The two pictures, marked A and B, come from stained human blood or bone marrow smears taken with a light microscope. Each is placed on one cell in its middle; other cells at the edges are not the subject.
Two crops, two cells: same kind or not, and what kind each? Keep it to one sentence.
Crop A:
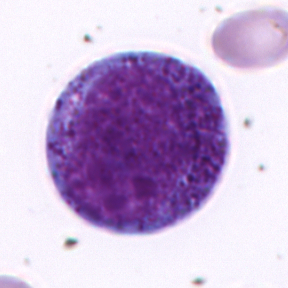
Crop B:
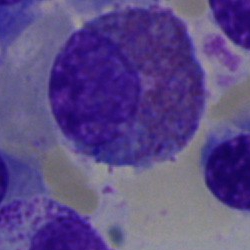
No, the cell in crop A is a promyelocyte, and the cell in crop B is an eosinophil.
